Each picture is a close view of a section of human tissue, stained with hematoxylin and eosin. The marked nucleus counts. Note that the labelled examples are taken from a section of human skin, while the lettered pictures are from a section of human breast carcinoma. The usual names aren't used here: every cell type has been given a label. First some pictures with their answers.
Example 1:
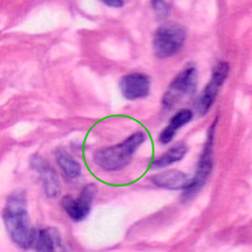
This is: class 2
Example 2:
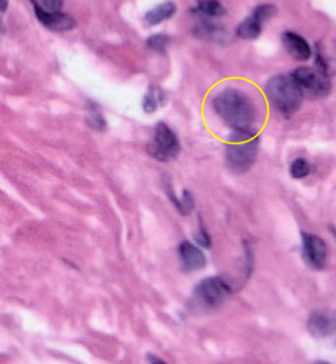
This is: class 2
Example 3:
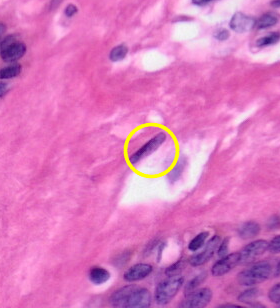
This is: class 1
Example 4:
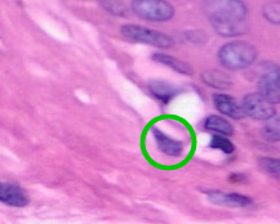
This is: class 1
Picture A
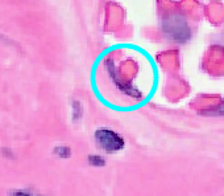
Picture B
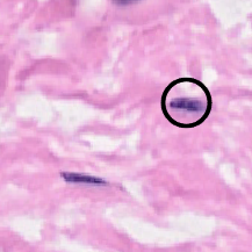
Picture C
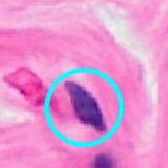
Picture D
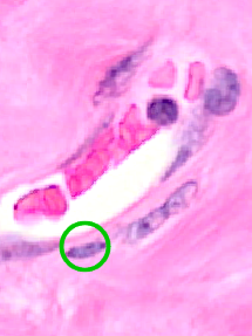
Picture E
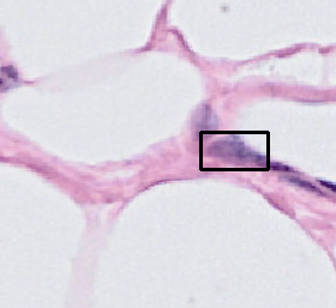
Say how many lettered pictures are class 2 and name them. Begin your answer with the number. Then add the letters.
4: A, C, D, E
